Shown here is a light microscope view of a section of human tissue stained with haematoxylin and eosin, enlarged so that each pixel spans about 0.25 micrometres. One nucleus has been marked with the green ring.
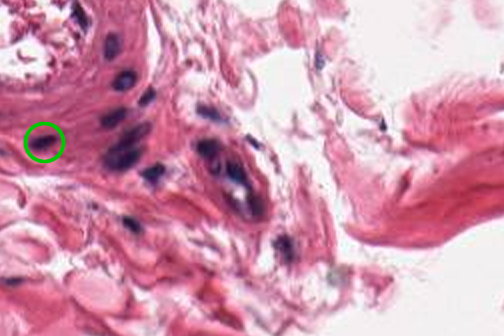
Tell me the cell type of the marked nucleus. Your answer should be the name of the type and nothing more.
smooth muscle cell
